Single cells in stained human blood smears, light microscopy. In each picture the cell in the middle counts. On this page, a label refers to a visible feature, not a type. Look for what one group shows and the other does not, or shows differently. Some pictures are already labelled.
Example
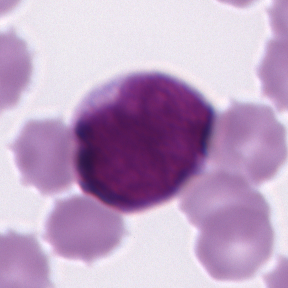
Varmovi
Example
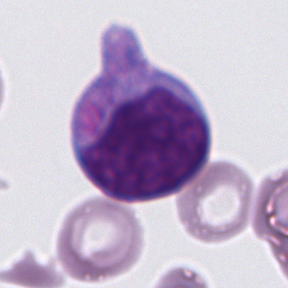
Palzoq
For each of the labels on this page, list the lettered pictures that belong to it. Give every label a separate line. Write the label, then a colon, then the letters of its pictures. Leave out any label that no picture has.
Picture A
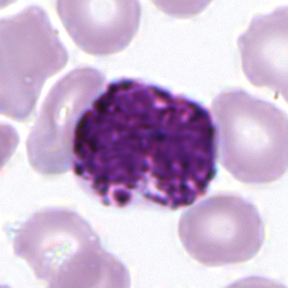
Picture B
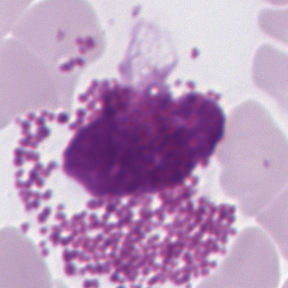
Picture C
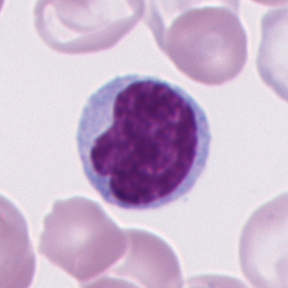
Varmovi: C
Palzoq: A, B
